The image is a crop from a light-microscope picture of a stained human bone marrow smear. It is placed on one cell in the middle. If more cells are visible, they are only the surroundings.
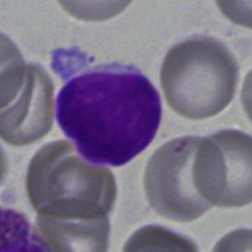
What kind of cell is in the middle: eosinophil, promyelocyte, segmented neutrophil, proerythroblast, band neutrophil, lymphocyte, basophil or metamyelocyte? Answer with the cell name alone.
lymphocyte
